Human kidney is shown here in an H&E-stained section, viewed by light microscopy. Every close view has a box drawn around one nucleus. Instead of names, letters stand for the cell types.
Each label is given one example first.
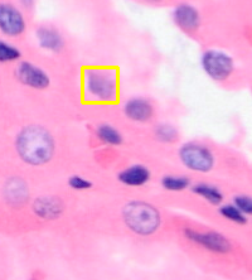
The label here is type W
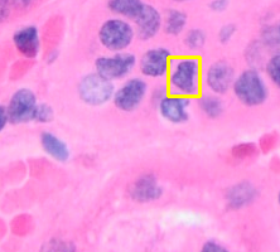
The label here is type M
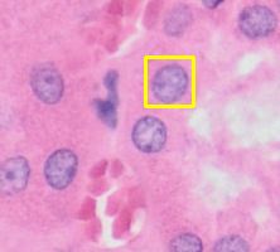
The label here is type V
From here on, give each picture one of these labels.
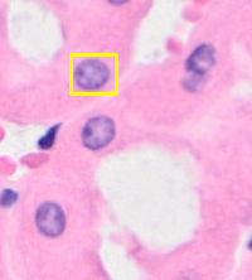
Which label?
type V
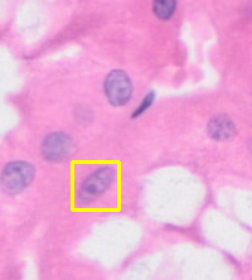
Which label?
type V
